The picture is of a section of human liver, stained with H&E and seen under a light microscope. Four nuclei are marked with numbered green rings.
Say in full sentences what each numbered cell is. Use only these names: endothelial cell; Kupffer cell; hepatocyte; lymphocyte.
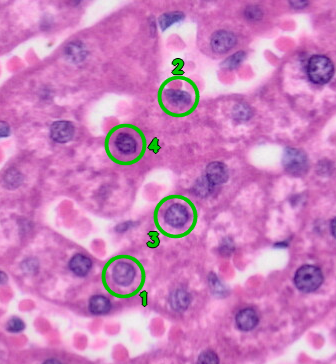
Cell 1 is a hepatocyte, cell 2 is an endothelial cell, cell 3 is a hepatocyte and cell 4 is a hepatocyte.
